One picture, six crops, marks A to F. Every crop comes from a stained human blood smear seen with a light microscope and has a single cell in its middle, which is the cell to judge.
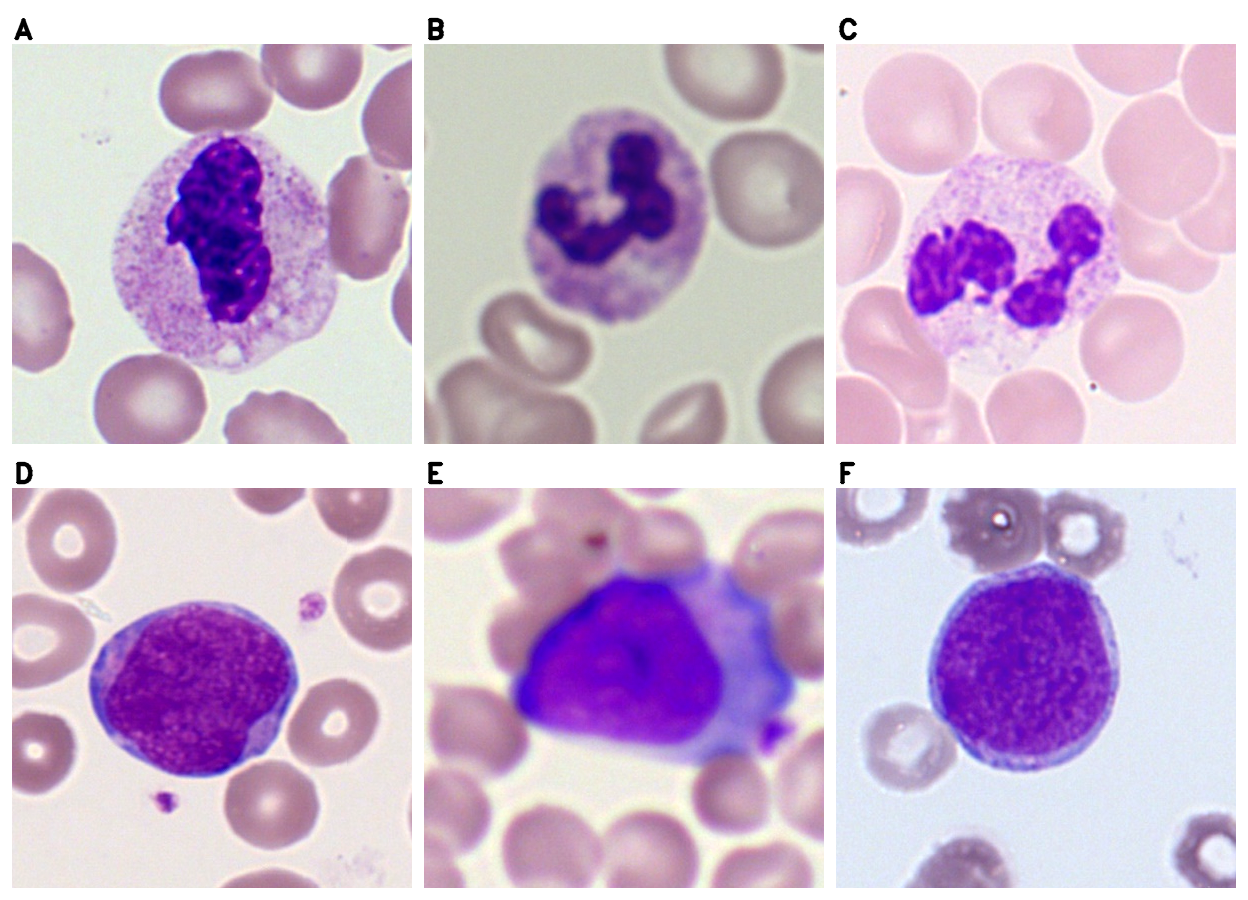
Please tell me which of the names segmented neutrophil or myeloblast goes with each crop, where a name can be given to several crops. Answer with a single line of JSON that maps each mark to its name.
{"A": "segmented neutrophil", "B": "segmented neutrophil", "C": "segmented neutrophil", "D": "myeloblast", "E": "myeloblast", "F": "myeloblast"}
